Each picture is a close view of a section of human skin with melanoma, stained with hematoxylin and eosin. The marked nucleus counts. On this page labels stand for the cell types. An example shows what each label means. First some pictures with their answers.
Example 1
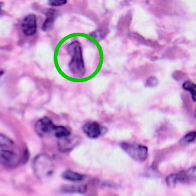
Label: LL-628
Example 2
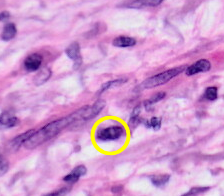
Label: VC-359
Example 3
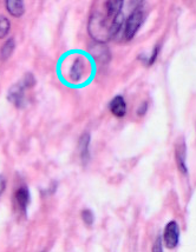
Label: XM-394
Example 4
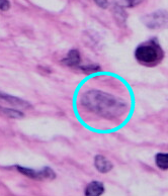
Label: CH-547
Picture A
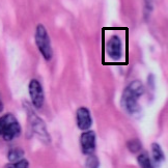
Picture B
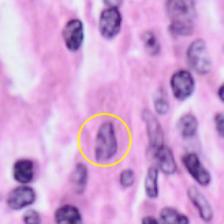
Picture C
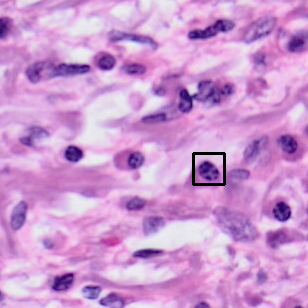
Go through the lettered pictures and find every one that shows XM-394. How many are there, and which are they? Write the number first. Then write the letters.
1: A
